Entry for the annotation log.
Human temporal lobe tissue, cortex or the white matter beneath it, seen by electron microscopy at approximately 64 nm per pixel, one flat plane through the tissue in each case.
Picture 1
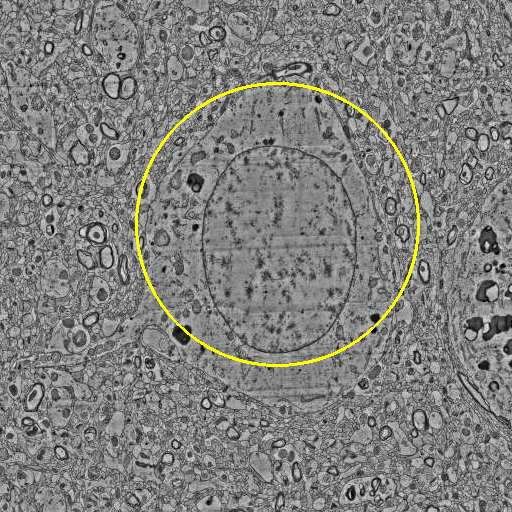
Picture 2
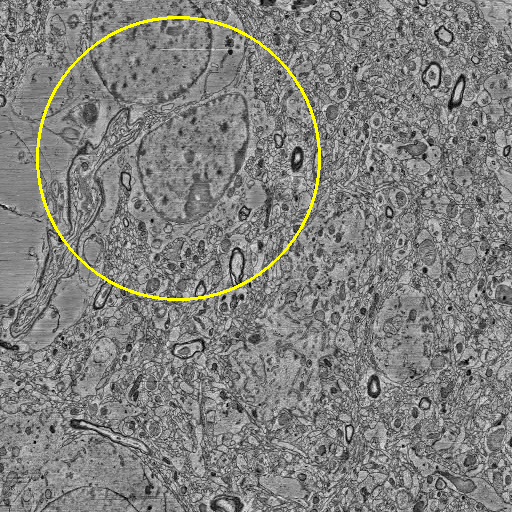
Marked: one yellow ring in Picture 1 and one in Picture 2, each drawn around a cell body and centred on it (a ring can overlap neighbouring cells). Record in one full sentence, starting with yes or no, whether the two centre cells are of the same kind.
No, the two cells are of two kinds.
